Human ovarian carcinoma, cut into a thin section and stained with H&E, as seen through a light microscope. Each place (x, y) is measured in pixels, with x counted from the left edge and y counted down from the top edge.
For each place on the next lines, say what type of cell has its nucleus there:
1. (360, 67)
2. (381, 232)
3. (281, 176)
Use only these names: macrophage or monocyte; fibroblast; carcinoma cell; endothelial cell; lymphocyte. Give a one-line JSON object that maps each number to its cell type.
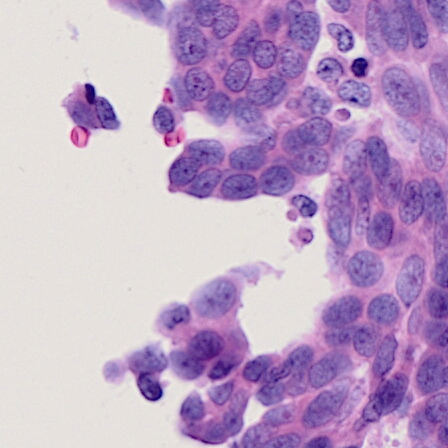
{"1": "lymphocyte", "2": "carcinoma cell", "3": "carcinoma cell"}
